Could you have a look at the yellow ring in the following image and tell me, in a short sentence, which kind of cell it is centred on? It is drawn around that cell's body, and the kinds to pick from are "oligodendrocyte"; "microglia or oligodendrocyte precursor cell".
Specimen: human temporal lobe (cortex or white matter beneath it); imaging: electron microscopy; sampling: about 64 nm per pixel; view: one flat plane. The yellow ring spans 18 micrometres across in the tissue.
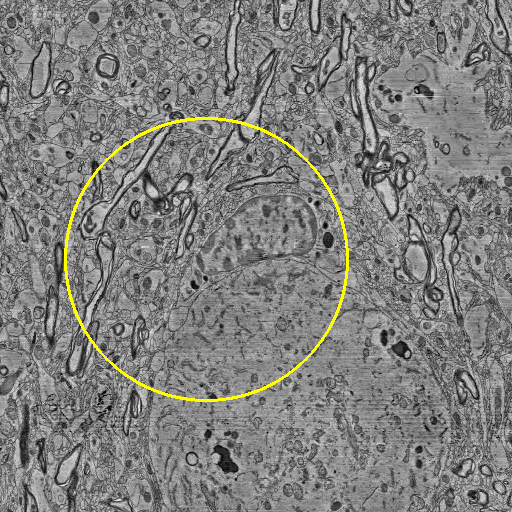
The ring is centred on the body of a microglial cell or oligodendrocyte precursor cell.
